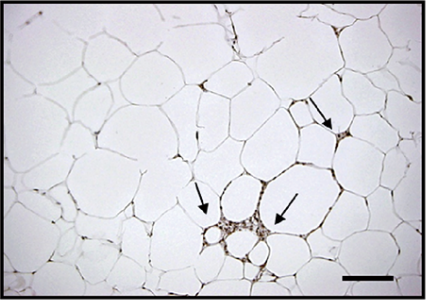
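White adipose tissue made of large, unilocular adipocytes appearing as empty, rounded-to-polygonal spaces separated by thin septa. Cells vary in size, with a few smaller profiles among the large ones. Brown-stained cells are scattered along the septa and gather in dense clusters around several small adipocytes near the centre, forming rings that encircle them. Elsewhere the septa are thin with only occasional brown dots. No other tissue components are prominent.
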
